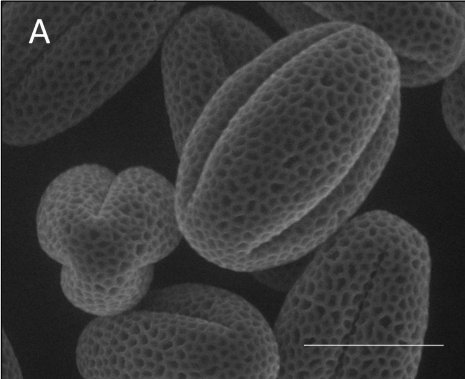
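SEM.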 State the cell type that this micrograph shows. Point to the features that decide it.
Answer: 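Separate ellipsoidal grains with a net-like pitted surface. Long furrows run lengthwise along the grains.
Pollen.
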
